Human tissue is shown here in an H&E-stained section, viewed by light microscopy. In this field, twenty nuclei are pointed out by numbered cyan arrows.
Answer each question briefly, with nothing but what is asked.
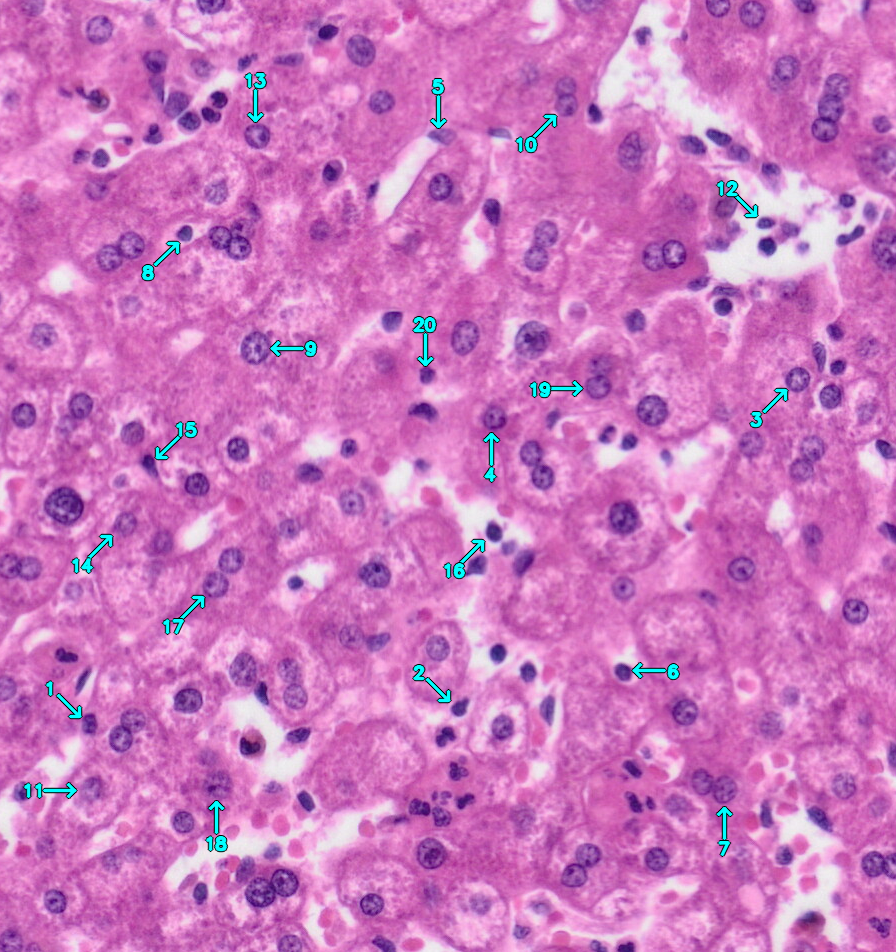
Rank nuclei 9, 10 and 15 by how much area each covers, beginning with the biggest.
9, 10, 15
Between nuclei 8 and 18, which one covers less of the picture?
8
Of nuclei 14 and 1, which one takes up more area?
14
